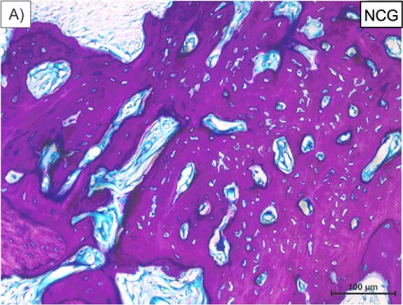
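Mineralized tissue stained deep pink to magenta fills most of the field. Channels and spaces of varying shape run through the pink matrix and are filled with pale blue connective tissue. Larger pale areas of connective tissue lie at the upper and lower edges of the field.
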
